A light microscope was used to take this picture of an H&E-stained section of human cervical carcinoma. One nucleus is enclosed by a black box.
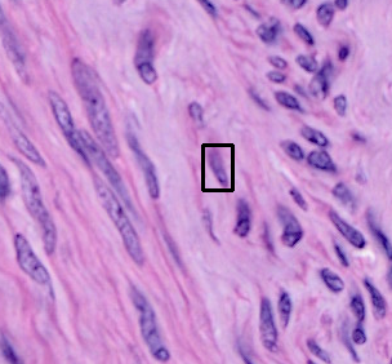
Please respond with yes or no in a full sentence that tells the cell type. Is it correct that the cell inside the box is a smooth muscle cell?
Yes, the classification of the cell inside the box as a smooth muscle cell is accurate.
